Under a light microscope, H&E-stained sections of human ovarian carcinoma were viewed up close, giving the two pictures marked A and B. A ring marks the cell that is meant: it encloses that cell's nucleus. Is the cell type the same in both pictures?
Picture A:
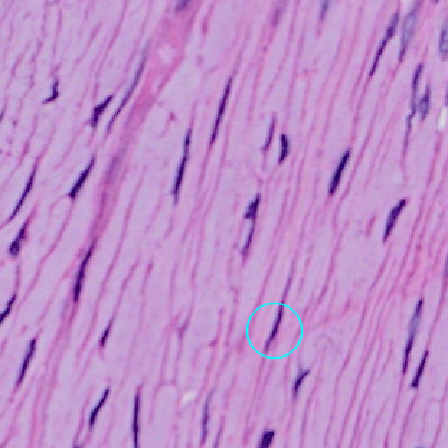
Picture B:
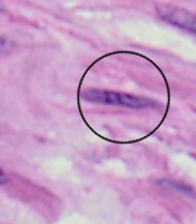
yes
